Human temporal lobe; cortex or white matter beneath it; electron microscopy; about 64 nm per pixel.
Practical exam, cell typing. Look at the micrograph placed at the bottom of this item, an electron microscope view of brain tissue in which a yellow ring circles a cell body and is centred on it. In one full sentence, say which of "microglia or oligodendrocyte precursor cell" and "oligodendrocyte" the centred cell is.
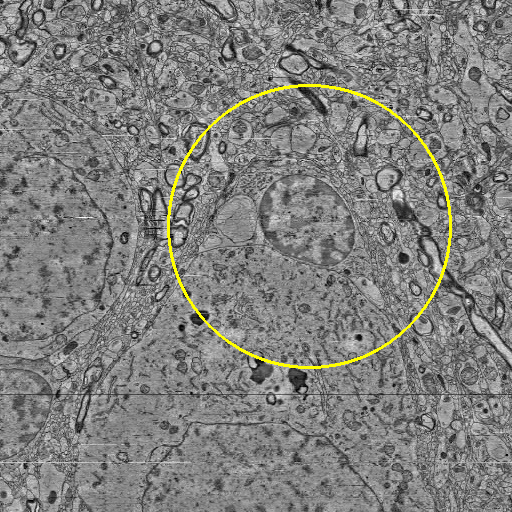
Given the options, a microglial cell or oligodendrocyte precursor cell fits the cell whose body the yellow ring is centred on.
